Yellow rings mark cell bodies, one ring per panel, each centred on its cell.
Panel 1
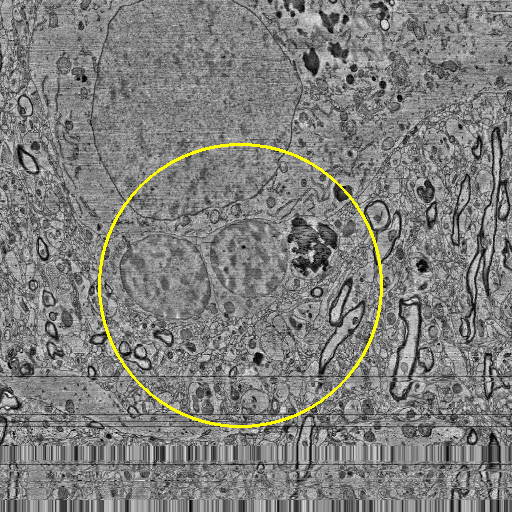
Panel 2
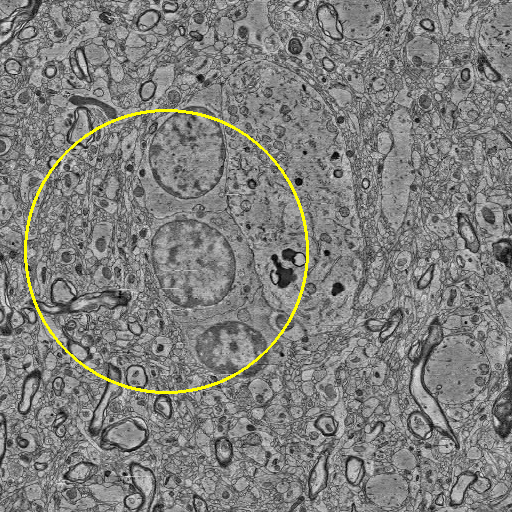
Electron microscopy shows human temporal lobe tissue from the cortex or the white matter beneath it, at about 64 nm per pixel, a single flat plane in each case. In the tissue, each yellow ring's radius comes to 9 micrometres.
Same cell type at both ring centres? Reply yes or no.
yes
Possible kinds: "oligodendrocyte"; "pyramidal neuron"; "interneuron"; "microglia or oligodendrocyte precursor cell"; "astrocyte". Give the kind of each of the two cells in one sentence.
Both cells are the same kind, each one being an oligodendrocyte.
